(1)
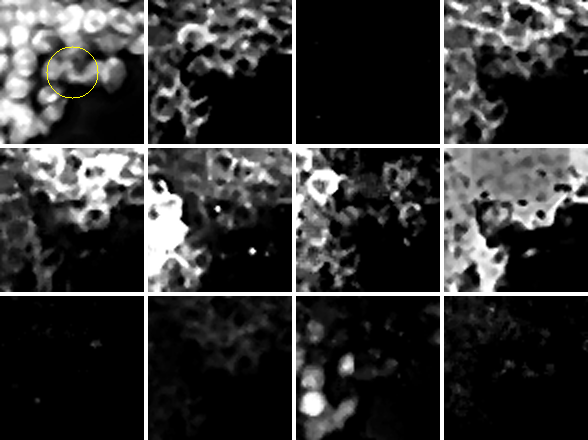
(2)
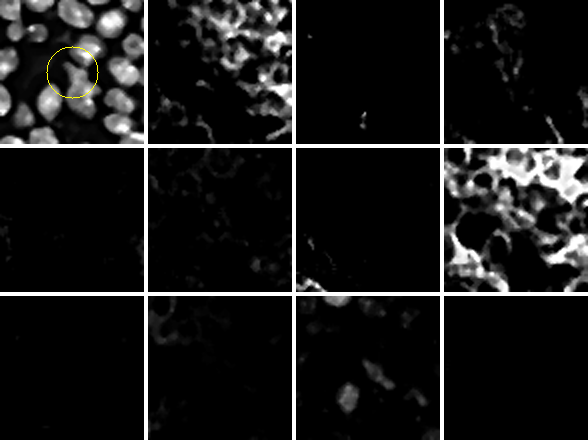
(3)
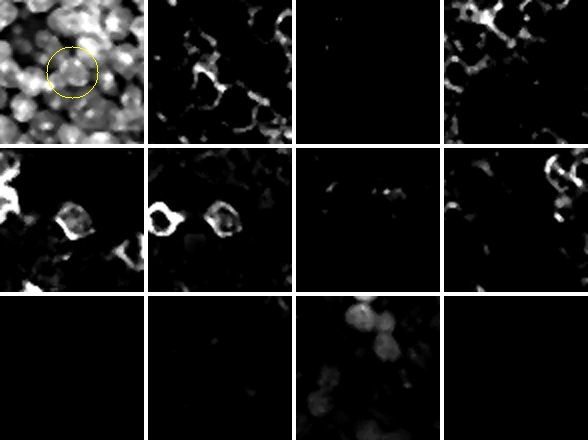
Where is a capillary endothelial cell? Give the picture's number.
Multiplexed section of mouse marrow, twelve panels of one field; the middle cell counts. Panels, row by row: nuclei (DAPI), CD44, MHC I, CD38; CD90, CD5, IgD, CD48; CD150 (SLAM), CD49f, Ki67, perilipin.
2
